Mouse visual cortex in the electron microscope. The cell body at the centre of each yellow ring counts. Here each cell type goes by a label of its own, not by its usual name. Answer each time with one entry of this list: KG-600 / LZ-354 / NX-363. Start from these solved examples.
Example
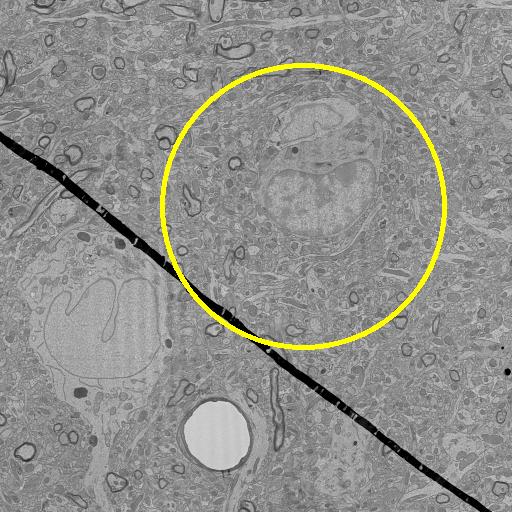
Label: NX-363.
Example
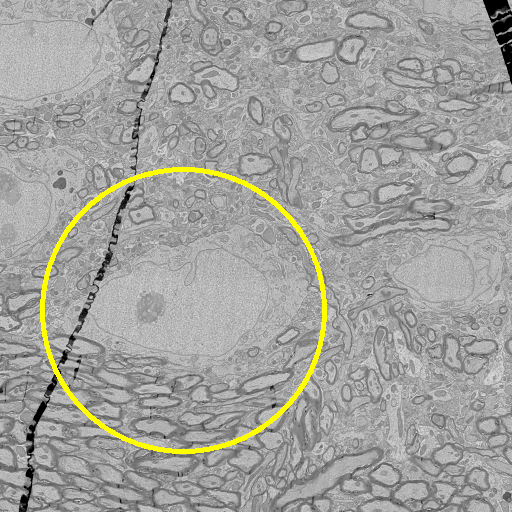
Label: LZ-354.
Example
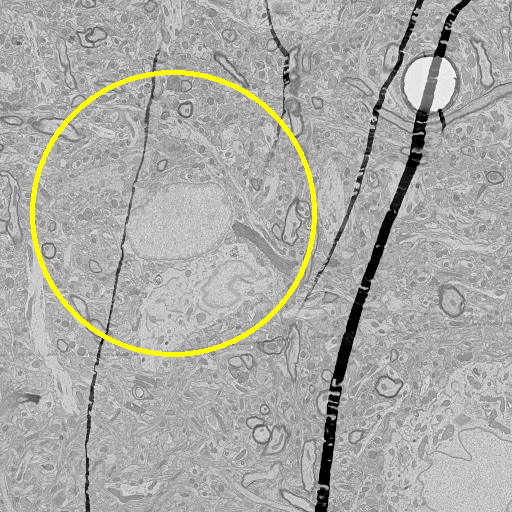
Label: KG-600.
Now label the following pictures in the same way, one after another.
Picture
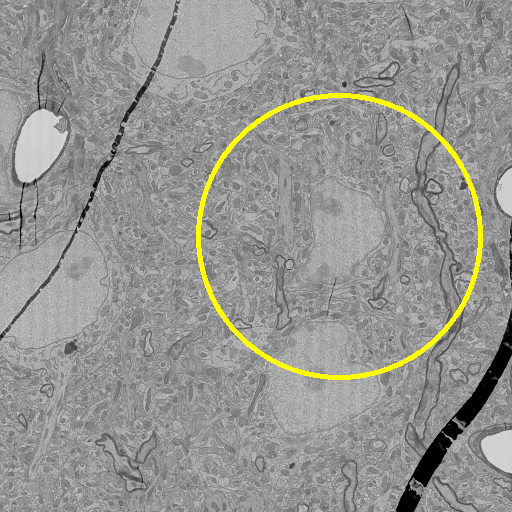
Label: KG-600.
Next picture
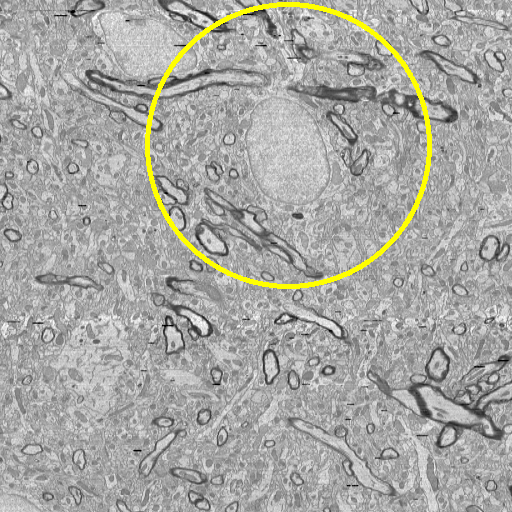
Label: KG-600.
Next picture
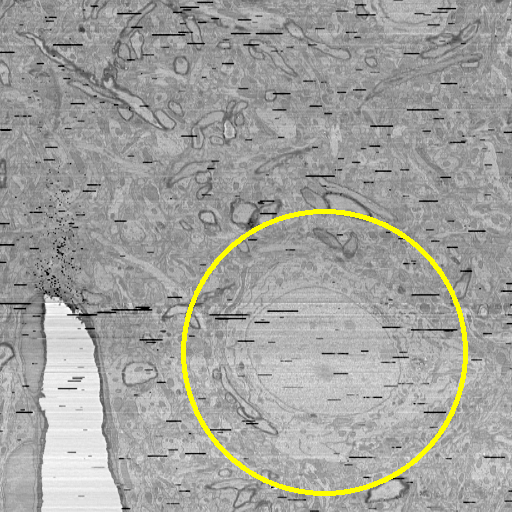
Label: LZ-354.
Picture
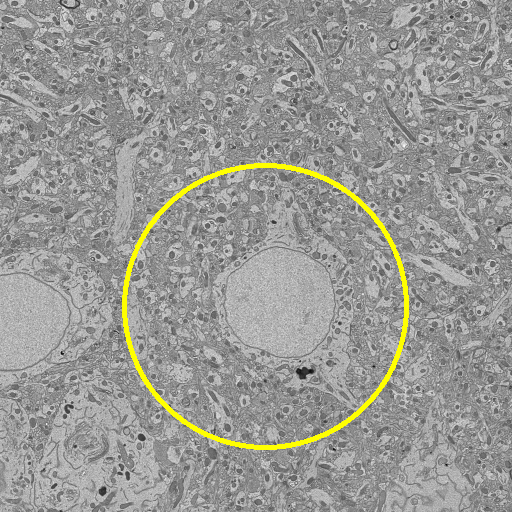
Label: LZ-354.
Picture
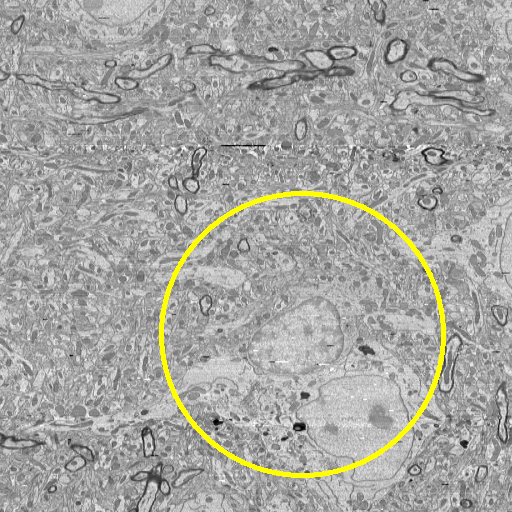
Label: NX-363.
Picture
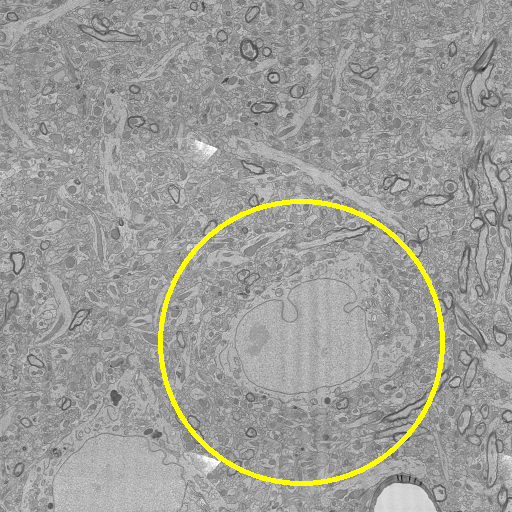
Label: LZ-354.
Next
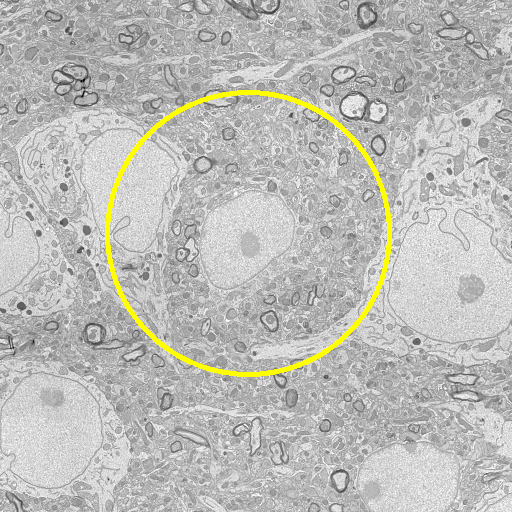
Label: KG-600.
